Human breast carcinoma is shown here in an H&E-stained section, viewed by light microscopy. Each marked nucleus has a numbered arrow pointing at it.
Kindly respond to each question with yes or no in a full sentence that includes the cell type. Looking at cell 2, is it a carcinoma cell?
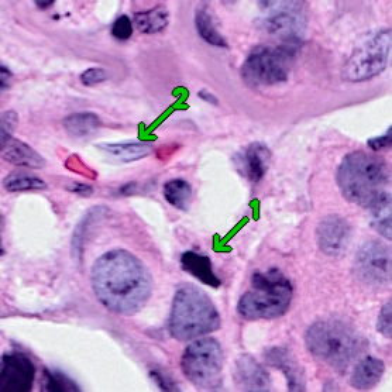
No, it is an endothelial cell that is marked with number 2, not a carcinoma cell.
